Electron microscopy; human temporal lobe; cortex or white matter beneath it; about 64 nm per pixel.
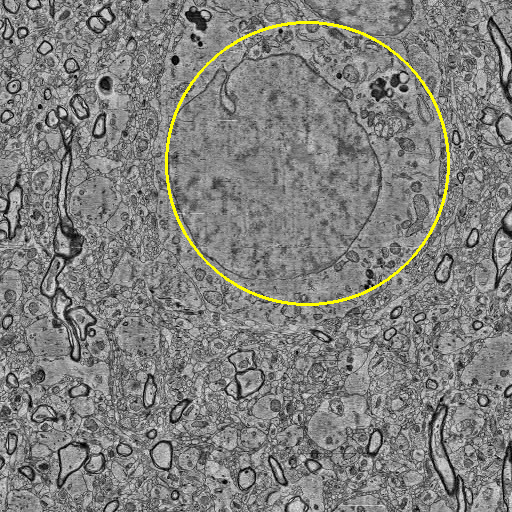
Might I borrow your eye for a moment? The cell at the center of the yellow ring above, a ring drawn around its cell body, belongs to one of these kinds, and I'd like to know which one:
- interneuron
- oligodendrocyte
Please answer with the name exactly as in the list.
interneuron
